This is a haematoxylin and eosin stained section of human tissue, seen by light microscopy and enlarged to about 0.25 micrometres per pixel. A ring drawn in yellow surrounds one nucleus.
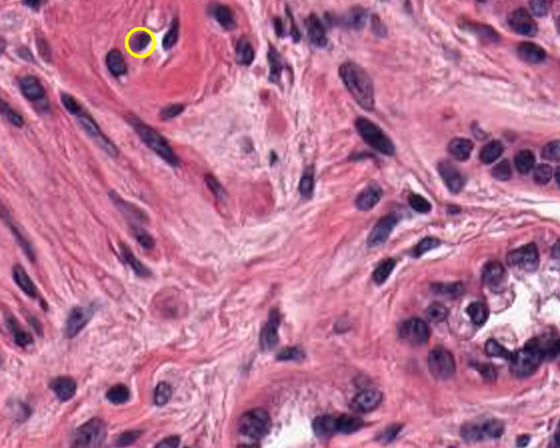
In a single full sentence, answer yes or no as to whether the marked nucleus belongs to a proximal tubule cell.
No, it is not a proximal tubule cell that owns the marked nucleus but a supporting cell.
